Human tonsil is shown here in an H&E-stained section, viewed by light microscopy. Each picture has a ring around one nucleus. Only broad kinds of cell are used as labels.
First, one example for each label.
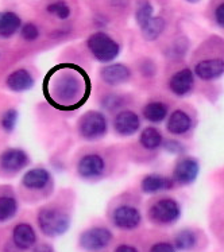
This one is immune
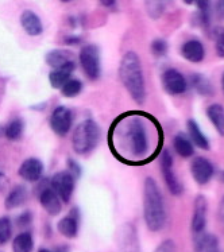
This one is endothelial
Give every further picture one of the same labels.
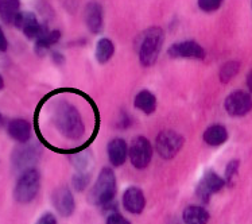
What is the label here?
endothelial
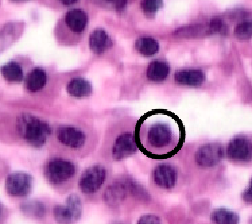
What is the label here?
immune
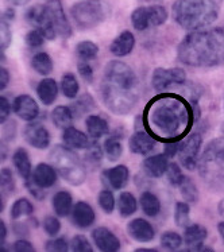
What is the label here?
immune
